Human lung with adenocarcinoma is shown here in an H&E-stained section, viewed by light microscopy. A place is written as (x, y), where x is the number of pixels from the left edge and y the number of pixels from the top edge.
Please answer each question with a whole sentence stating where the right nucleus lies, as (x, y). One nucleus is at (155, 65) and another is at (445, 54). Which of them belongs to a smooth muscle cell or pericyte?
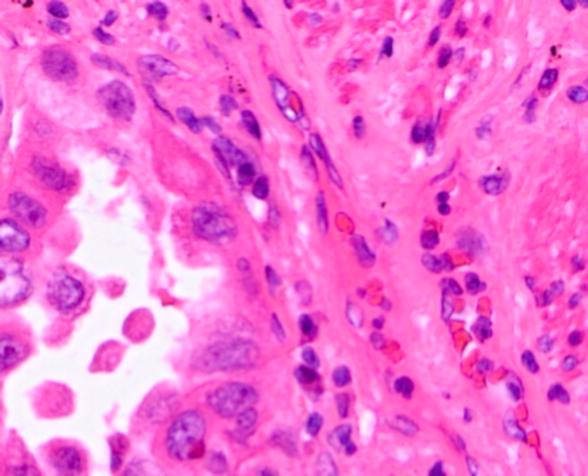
The nucleus that sits at (445, 54) is the nucleus of a smooth muscle cell or pericyte.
